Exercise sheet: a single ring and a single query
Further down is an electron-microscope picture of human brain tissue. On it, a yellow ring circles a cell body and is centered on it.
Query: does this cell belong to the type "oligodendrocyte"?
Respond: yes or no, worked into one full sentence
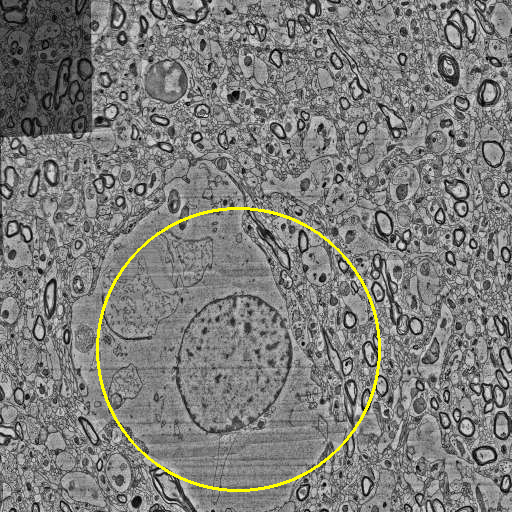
No, this ringed cell, found at the center of the ring in the picture, is of a different type.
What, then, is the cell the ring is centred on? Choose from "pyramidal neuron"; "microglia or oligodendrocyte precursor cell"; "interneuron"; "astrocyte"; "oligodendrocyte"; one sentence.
The correct answer is that the cell is an astrocyte.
